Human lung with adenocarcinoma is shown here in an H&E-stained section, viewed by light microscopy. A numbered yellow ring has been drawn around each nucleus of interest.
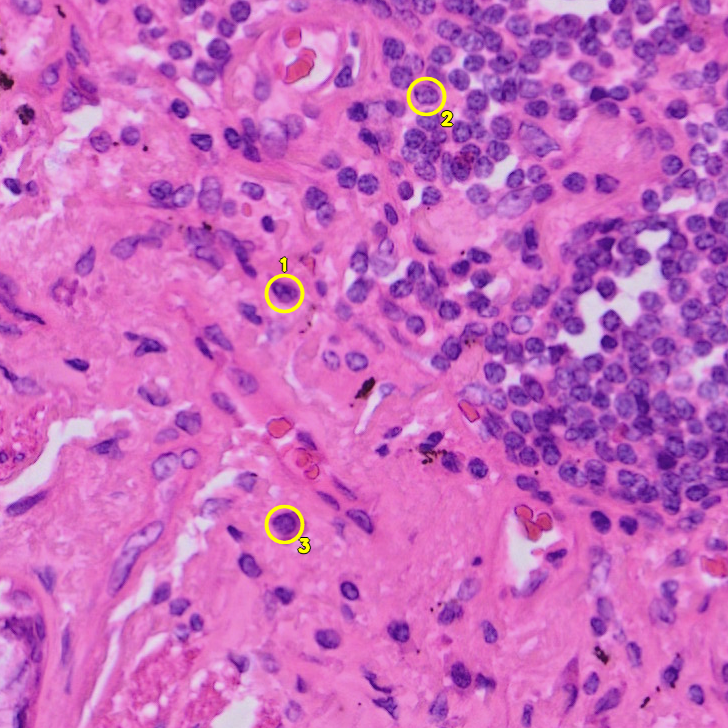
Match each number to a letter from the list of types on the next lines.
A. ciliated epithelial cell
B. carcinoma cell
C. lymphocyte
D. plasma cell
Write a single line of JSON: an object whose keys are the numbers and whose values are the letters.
{"1": "D", "2": "C", "3": "D"}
